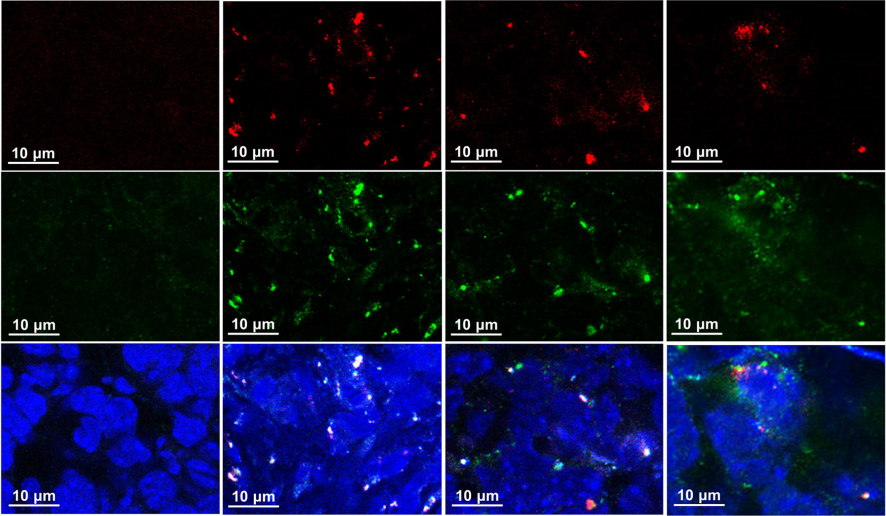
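Red and green appear as scattered small bright dots and clusters rather than as outlines of whole cells. In the merged images, some dots coincide and show as pale or white spots lying between the nuclei. The leftmost column is nearly dark in both the red and green channels, while the other three columns carry many scattered bright spots in both channels.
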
